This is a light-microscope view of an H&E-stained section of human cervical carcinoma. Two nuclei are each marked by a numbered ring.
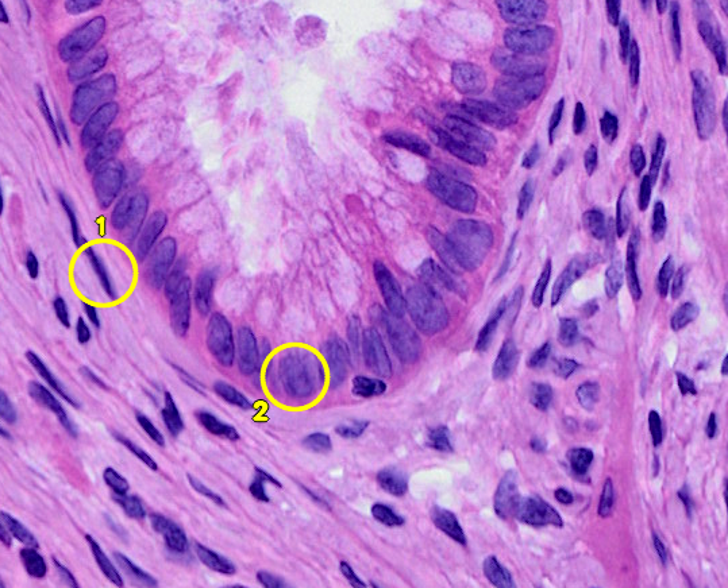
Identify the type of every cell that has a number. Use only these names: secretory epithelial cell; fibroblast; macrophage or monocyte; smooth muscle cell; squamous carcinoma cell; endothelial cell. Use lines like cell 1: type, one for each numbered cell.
cell 1: fibroblast
cell 2: secretory epithelial cell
